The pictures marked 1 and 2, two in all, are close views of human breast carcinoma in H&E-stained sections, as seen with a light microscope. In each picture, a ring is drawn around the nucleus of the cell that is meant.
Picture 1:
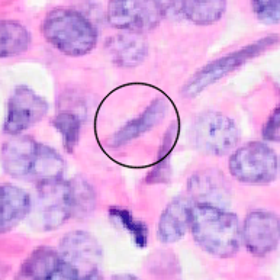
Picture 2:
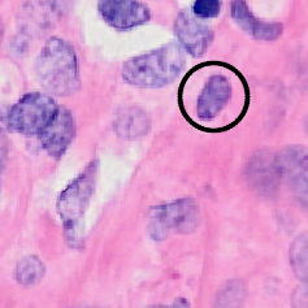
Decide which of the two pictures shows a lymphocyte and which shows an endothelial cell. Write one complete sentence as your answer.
In picture 1 the cell is an endothelial cell; in picture 2, a lymphocyte.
